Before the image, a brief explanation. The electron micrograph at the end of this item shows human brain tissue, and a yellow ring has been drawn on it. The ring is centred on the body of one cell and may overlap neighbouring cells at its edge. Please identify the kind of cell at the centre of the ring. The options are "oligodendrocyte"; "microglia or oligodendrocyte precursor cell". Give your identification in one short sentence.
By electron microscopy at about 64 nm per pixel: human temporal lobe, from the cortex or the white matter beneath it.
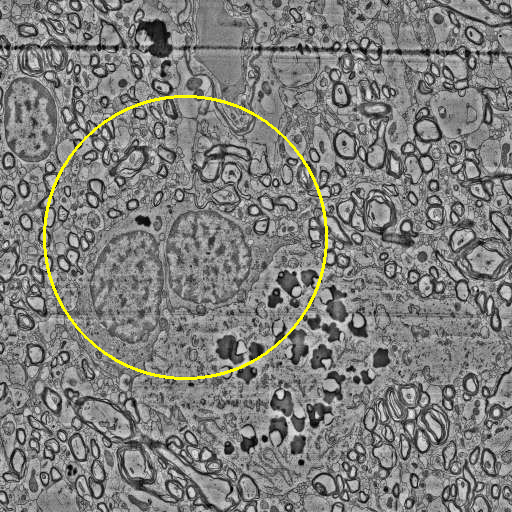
The ring has been placed around an oligodendrocyte.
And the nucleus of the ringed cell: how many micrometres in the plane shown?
Roughly 6 micrometers across, in this plane.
